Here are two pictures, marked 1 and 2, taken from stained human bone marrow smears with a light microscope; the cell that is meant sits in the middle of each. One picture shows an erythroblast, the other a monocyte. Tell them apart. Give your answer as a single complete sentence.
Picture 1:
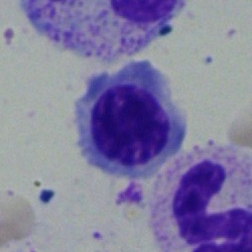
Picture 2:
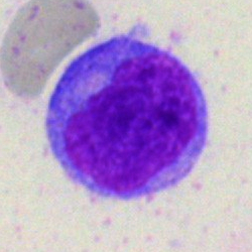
Picture 1 shows an erythroblast and picture 2 shows a monocyte.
